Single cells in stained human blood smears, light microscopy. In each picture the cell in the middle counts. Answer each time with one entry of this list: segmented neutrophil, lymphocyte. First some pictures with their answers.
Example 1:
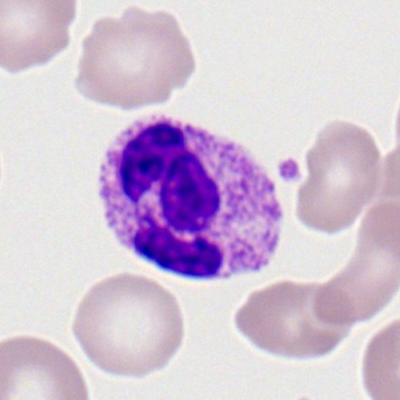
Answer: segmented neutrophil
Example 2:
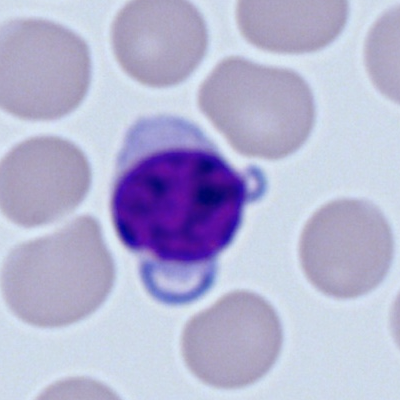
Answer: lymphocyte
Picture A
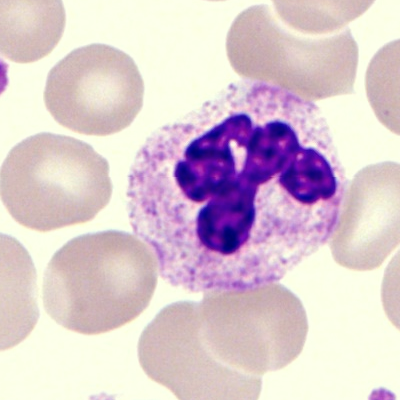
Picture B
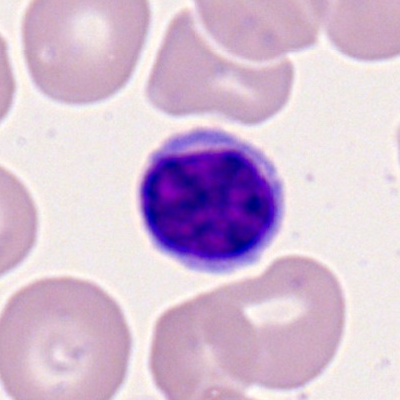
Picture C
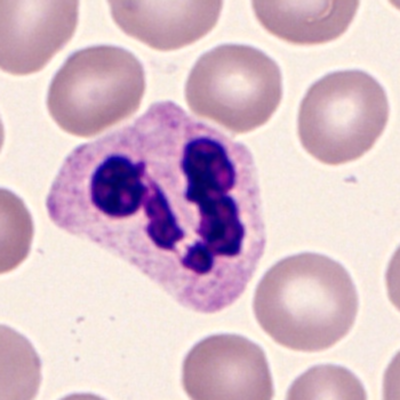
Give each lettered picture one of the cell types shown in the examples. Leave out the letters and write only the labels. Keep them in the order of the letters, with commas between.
segmented neutrophil, lymphocyte, segmented neutrophil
